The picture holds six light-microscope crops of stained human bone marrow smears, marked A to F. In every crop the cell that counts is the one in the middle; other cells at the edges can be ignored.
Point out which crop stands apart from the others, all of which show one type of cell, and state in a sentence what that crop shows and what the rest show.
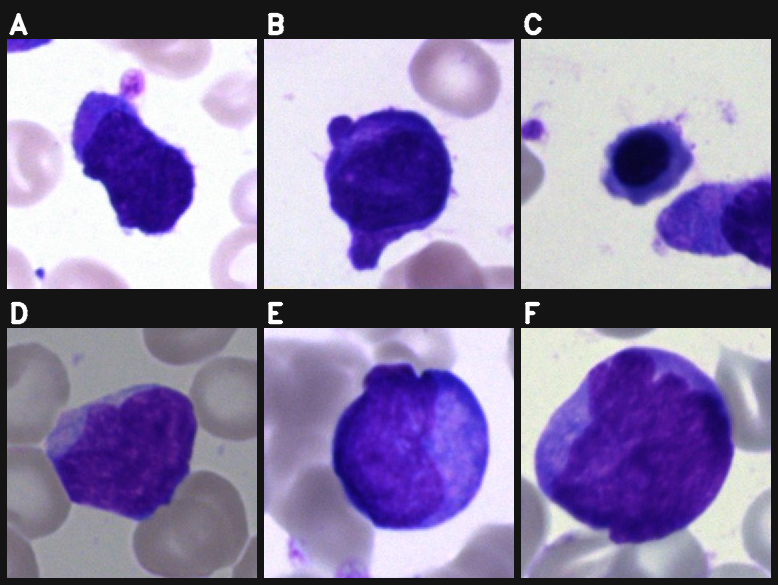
Only one crop differs, namely crop C, which is a normoblast; the others show blasts.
